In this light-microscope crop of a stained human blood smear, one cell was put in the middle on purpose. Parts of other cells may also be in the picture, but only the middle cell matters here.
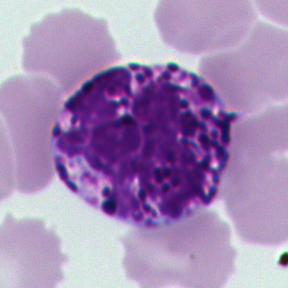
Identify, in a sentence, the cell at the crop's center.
Of the cells in this crop, the central one is a basophil.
